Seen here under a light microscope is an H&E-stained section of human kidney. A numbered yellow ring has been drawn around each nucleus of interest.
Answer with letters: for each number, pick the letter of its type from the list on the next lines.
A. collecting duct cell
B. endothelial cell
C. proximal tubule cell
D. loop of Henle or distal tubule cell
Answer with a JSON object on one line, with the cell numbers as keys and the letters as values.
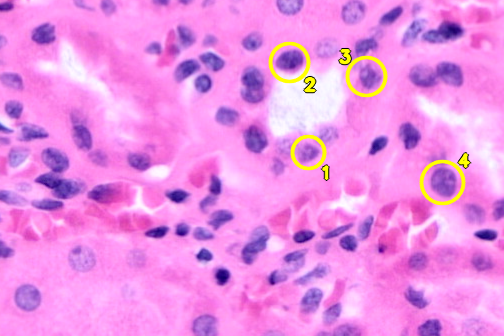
{"1": "D", "2": "D", "3": "D", "4": "C"}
